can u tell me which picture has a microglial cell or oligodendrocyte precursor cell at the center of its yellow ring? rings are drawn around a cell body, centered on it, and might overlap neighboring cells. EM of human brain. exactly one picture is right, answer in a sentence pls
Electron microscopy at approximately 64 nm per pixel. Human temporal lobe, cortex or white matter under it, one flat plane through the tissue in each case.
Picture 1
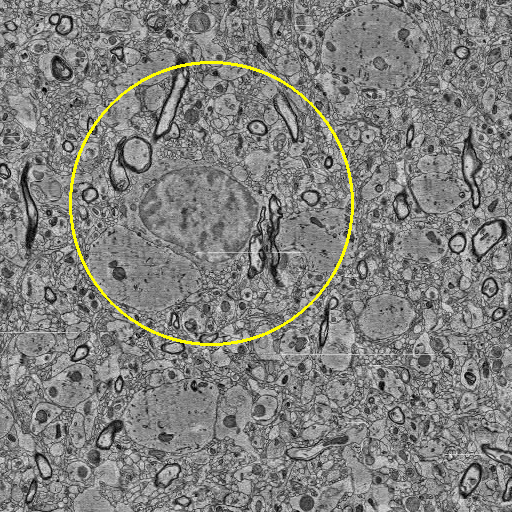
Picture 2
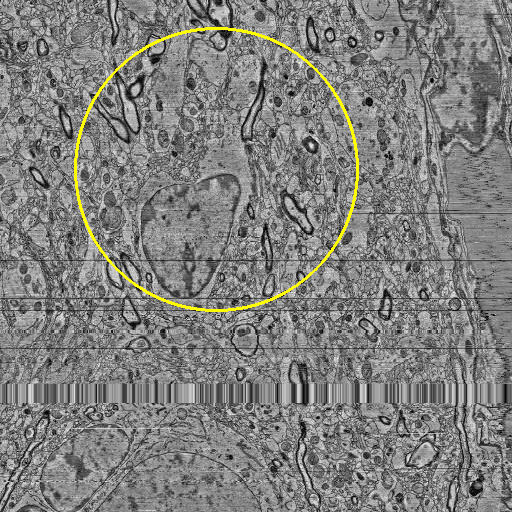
Picture 2 is the one.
